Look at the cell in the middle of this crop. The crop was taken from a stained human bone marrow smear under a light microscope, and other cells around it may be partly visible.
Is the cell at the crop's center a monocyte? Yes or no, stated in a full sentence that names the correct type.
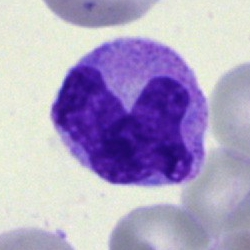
Yes, the cell at the centre is designated a monocyte.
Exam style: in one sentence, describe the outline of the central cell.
No surface projections are present; the cell outline is smooth.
